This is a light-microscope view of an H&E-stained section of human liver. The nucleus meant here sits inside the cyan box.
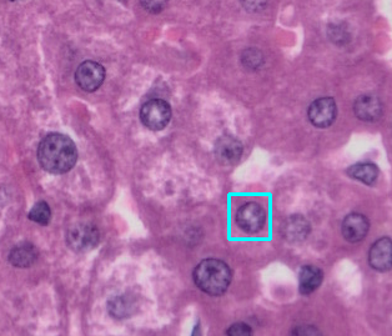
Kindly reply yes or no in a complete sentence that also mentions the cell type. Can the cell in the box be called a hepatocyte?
Yes, what the cell in the box represents in this tissue is a hepatocyte.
